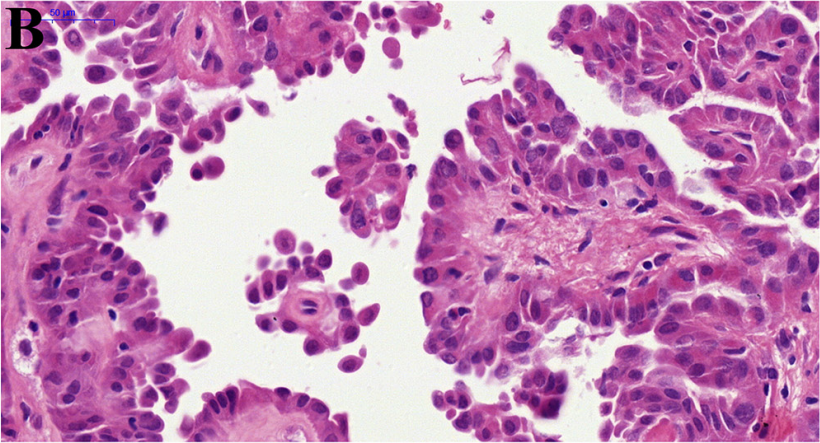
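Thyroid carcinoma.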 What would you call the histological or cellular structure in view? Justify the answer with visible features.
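Small epithelial tufts and projections with little or no stromal core. Small cell clusters project into the lumen. So: Micropapillary structures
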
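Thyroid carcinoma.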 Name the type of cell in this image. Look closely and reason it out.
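Cuboidal cells with apically placed nuclei. Lining cells have nuclei bulging toward the free surface. Nuclei sit at the luminal end of the cells.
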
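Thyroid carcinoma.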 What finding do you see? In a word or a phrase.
Loss of cellular cohesion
